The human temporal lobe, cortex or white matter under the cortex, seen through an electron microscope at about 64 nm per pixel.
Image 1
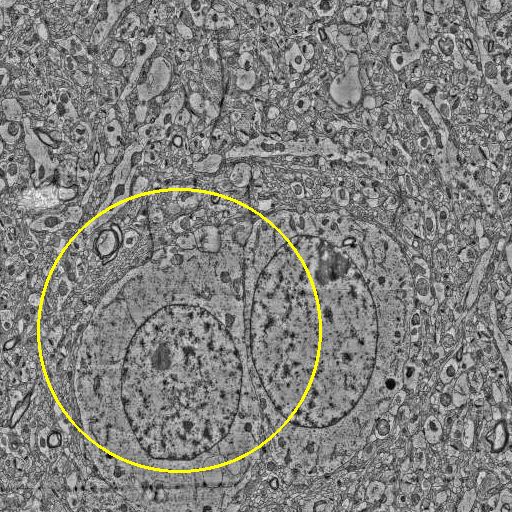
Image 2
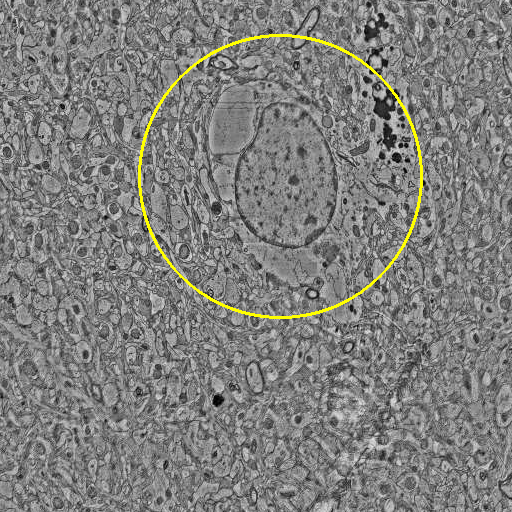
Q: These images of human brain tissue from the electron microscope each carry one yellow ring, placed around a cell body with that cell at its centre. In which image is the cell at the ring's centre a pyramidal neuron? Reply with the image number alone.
1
